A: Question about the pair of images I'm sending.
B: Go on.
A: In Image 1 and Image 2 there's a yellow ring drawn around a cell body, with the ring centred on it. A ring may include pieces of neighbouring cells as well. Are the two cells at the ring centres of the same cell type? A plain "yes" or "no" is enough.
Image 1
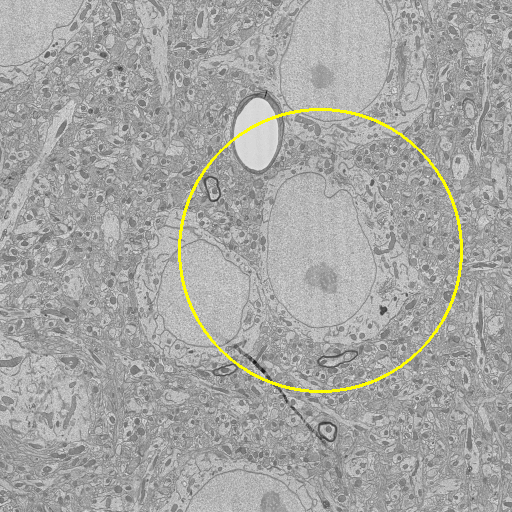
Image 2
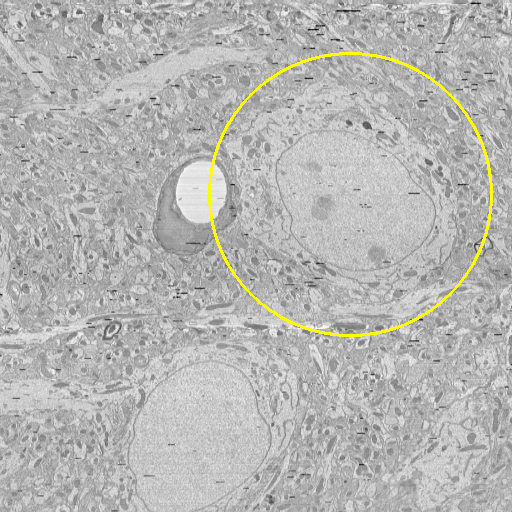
yes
